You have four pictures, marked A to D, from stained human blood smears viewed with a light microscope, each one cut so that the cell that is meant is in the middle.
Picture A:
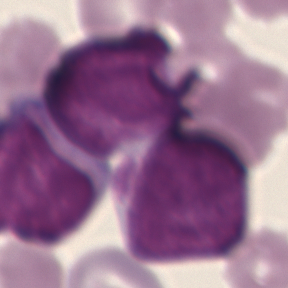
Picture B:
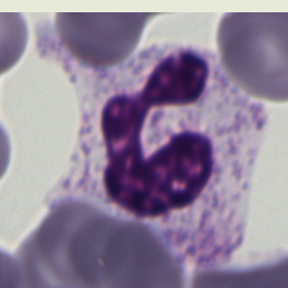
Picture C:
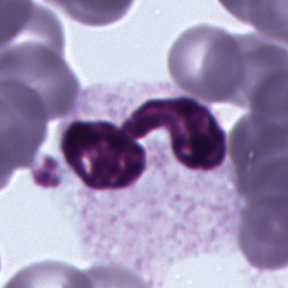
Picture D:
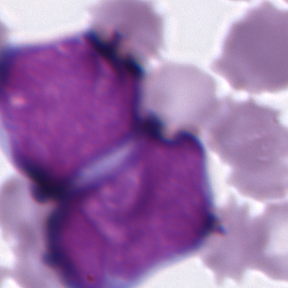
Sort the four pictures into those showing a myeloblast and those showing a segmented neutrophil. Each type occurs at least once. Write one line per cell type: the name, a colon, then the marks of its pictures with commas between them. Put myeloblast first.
myeloblast: A, D
segmented neutrophil: B, C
